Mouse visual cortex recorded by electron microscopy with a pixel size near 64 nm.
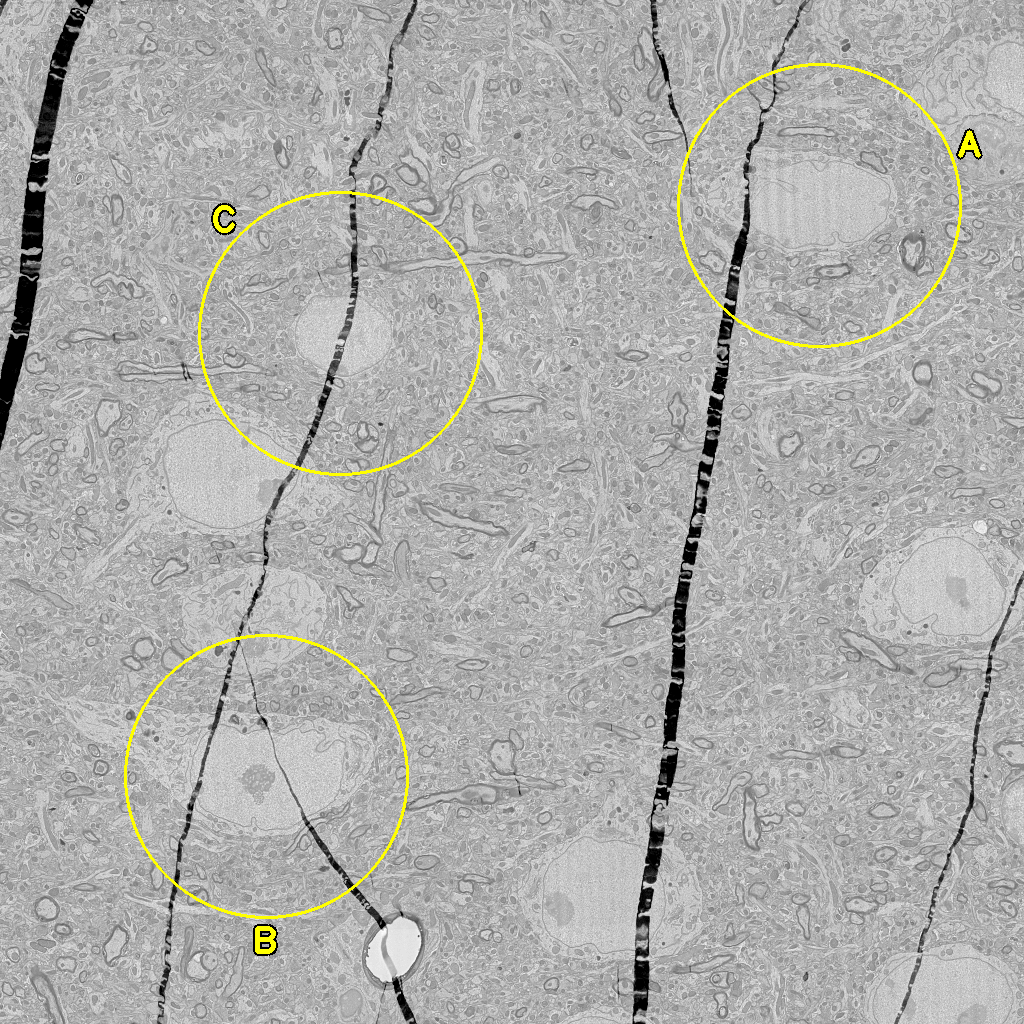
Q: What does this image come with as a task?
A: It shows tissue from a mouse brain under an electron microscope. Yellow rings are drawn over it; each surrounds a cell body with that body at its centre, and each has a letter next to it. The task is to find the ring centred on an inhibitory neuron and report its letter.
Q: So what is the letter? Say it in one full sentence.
It is B, the letter of the ring centred on the cell asked for in the picture.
